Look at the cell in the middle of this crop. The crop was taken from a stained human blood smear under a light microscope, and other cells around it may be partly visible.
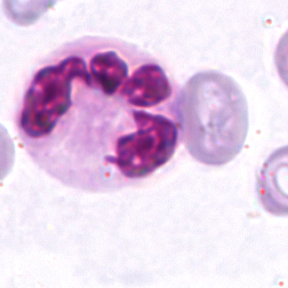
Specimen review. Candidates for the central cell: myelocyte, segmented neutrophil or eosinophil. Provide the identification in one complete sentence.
The centrally located cell in the crop is a segmented neutrophil.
